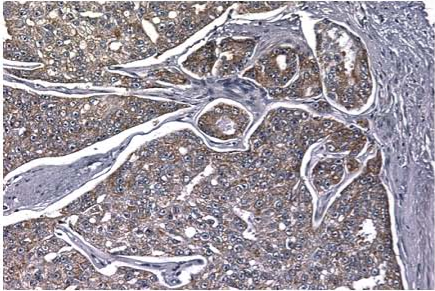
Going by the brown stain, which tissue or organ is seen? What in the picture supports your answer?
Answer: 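Solid sheets of epithelial cells fill most of the field, with their cytoplasm stained brown. Thin strands of pale fibrous stroma divide the cell sheets and are not brown. The nuclei are round and crowded, with no orderly gland layering.
Answer: tumor epithelium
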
